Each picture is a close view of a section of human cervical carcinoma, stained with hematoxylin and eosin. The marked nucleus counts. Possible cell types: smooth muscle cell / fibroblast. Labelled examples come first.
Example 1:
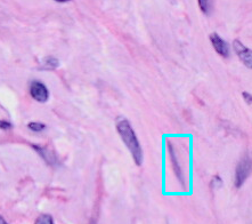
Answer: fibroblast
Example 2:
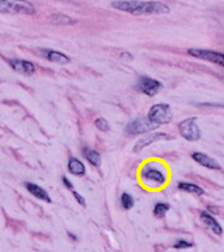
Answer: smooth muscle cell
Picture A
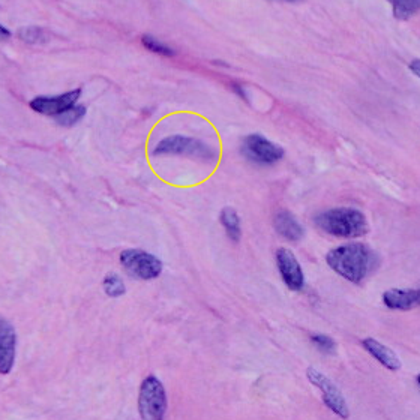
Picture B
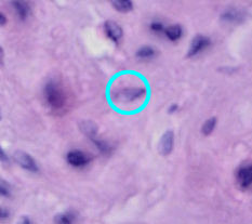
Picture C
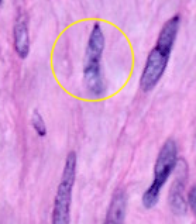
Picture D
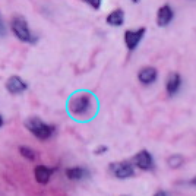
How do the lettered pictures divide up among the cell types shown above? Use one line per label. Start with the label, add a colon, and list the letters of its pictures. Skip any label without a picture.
smooth muscle cell: D
fibroblast: A, B, C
